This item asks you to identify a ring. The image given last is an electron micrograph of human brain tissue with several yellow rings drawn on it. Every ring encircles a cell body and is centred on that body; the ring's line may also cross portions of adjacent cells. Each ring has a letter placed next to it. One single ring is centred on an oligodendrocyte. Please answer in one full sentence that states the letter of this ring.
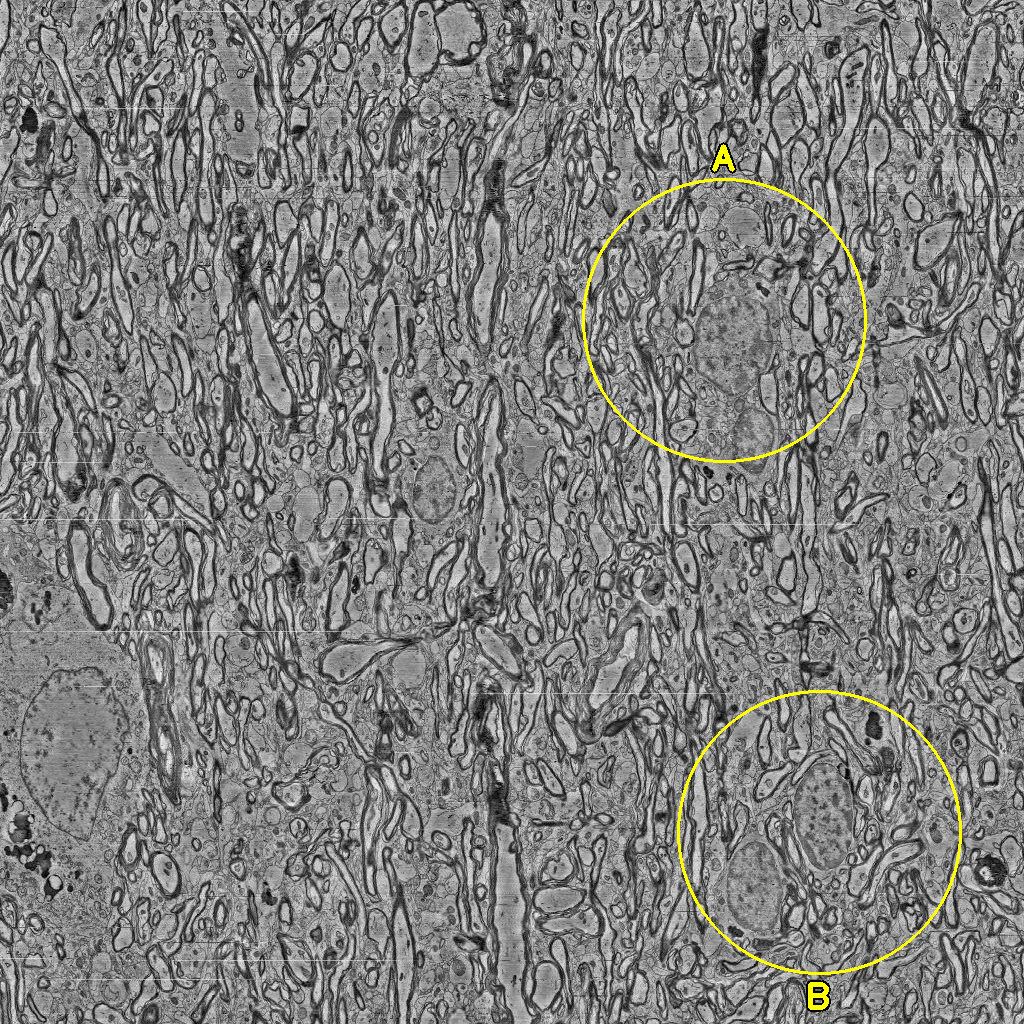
My answer is letter A, the ring centred on the cell asked for.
